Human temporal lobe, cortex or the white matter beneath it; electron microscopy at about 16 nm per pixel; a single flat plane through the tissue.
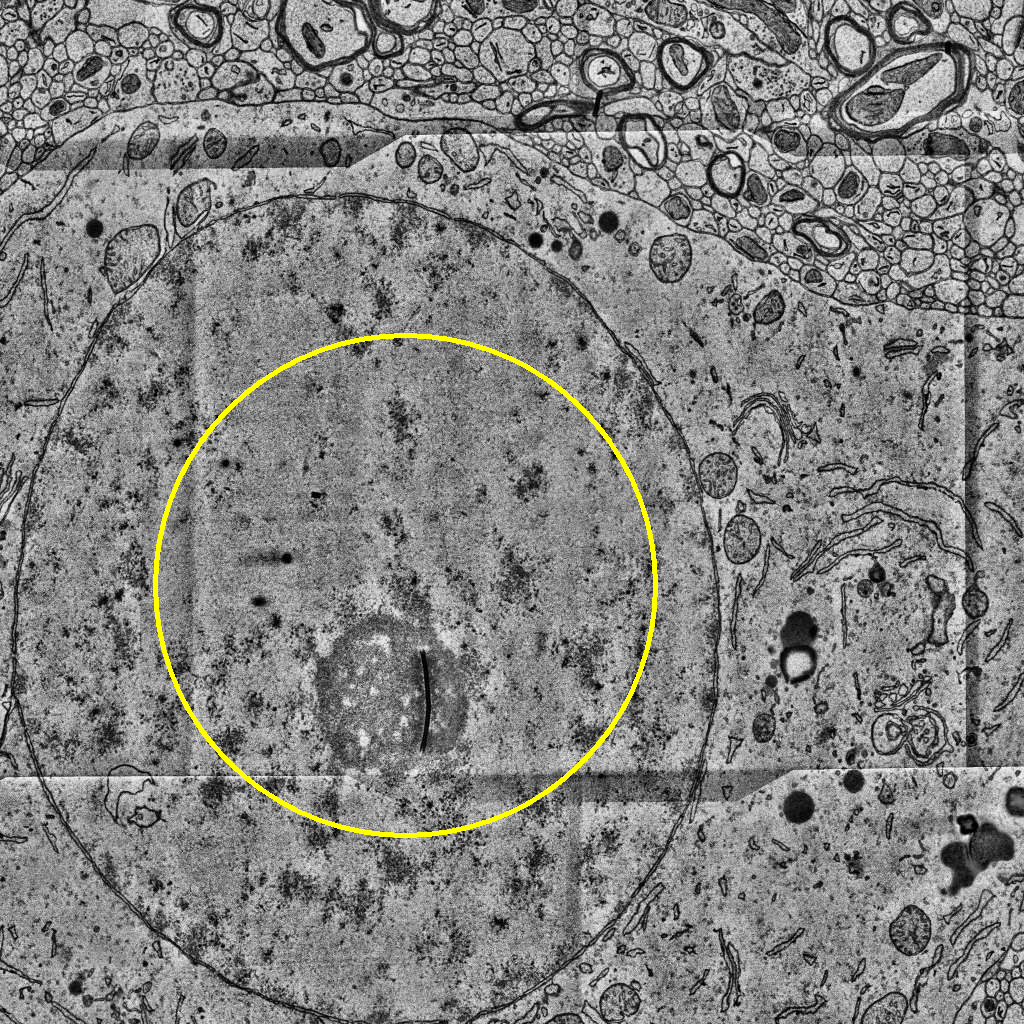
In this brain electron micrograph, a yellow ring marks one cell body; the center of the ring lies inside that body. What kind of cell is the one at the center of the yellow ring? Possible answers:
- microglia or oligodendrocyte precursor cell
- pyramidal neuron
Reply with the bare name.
pyramidal neuron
